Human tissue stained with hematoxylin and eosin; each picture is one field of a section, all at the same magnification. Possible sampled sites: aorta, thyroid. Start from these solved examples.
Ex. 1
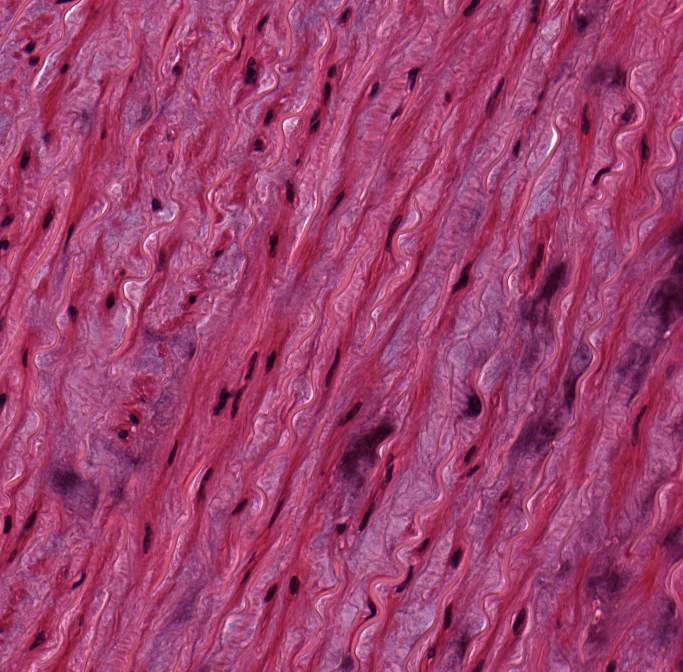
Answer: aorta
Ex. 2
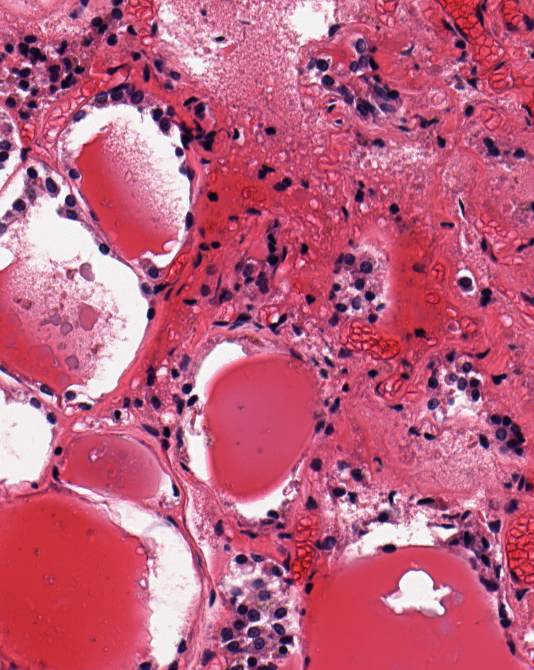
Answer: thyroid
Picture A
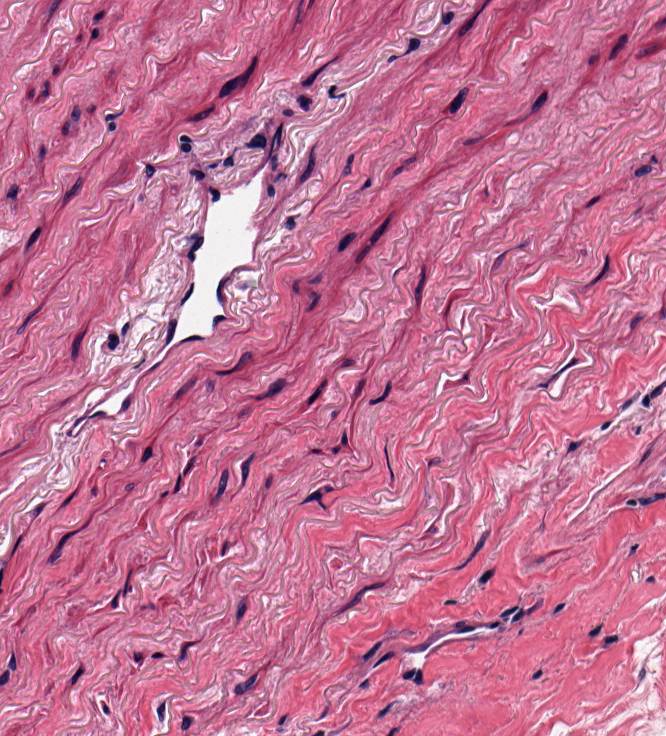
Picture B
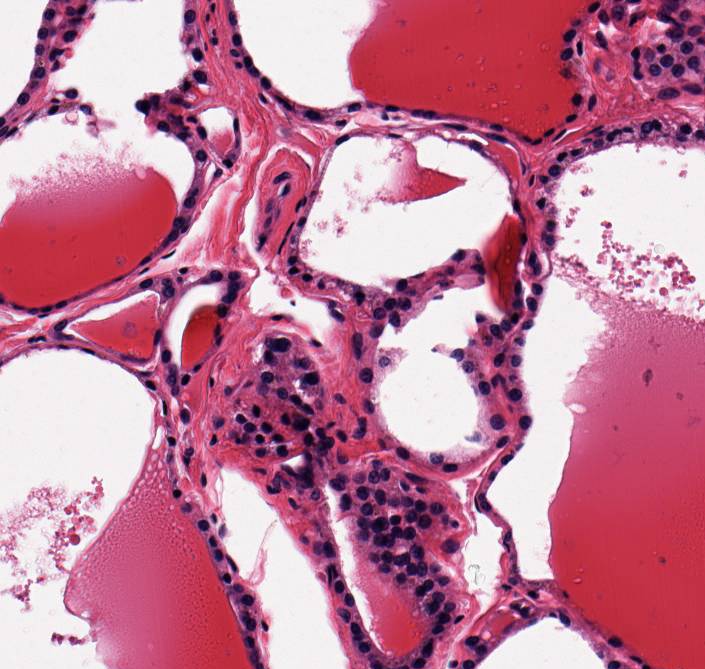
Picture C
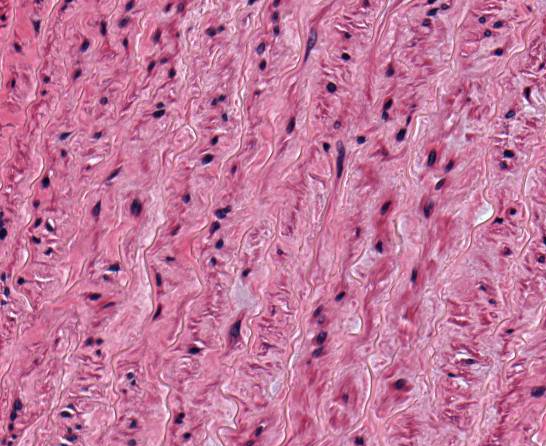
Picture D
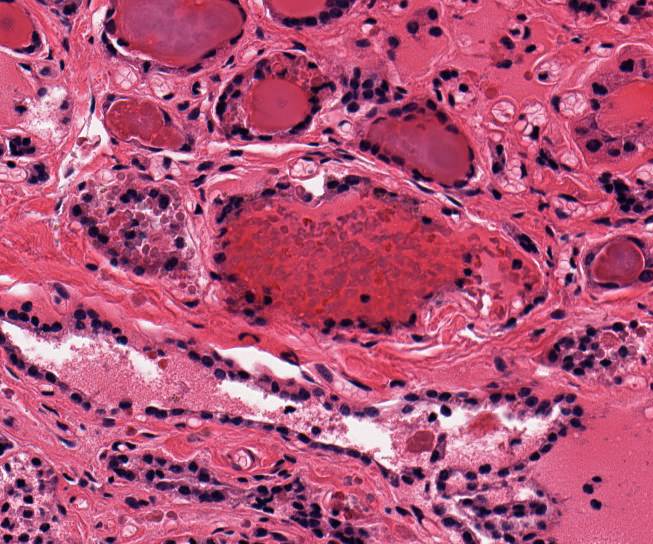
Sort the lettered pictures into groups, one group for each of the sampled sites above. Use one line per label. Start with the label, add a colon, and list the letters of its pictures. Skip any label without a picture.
aorta: A, C
thyroid: B, D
